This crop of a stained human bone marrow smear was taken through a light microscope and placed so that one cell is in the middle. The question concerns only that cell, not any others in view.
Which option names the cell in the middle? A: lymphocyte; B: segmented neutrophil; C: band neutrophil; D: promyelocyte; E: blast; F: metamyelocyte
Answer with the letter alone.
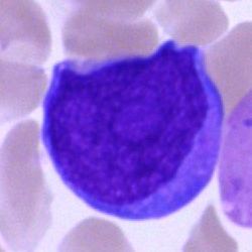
E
